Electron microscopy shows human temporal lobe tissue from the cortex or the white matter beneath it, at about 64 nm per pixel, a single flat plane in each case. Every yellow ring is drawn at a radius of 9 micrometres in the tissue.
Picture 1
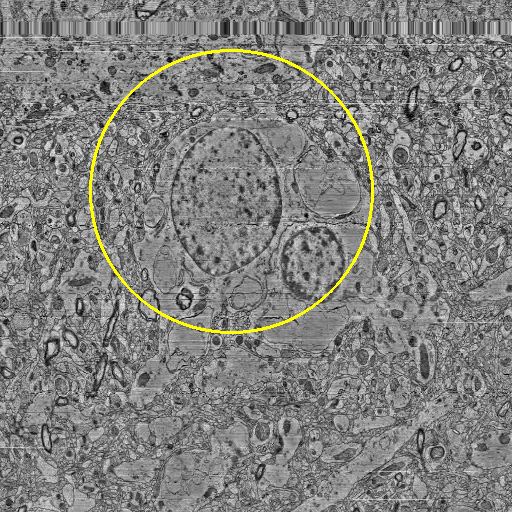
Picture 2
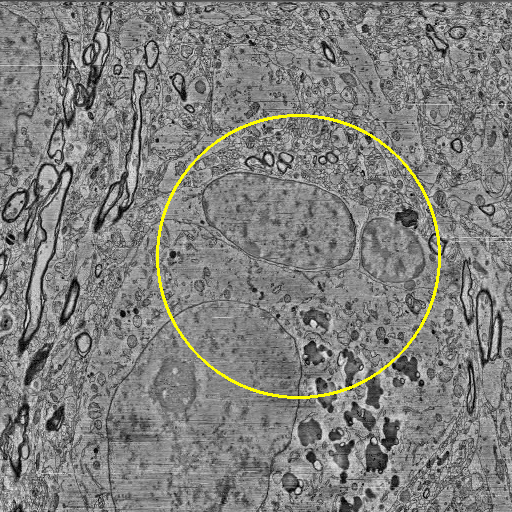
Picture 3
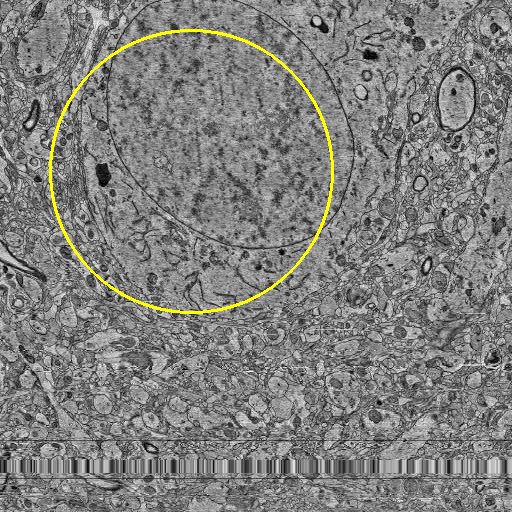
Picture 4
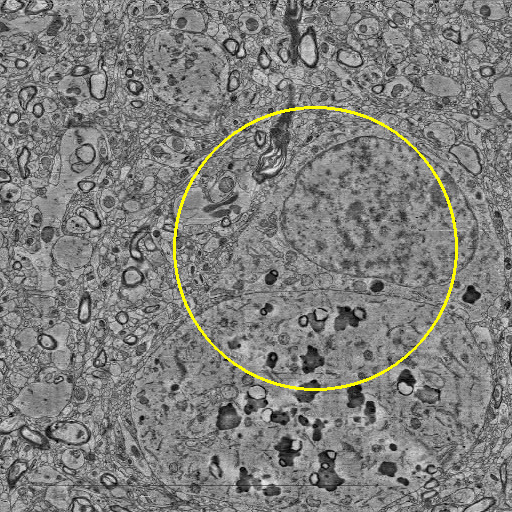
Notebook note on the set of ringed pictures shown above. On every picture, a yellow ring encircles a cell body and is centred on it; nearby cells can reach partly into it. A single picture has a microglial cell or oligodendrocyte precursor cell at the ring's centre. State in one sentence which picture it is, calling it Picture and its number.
Picture 2 is the one whose ring is centred on the sought cell.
